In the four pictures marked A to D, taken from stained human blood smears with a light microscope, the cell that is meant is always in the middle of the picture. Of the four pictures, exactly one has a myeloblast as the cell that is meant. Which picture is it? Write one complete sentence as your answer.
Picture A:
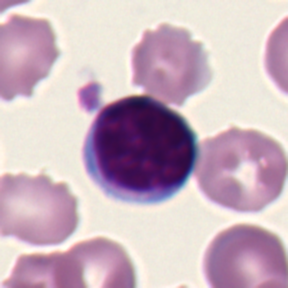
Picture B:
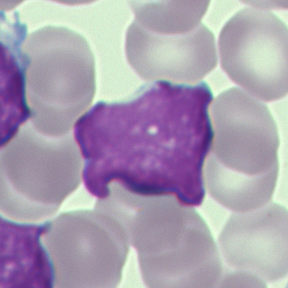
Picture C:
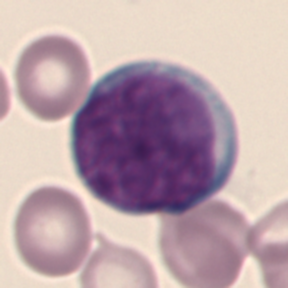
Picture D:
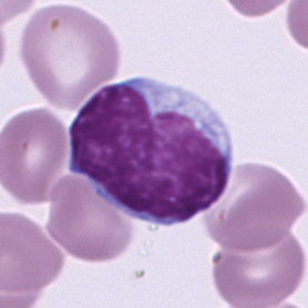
Picture C is the one that shows the myeloblast.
